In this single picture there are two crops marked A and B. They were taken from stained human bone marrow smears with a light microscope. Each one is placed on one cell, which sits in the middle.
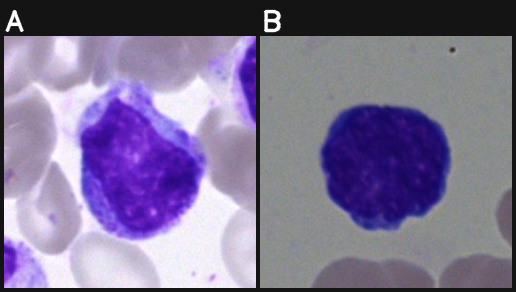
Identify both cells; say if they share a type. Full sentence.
No, on this set crop A shows a lymphocyte and crop B shows a blast.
